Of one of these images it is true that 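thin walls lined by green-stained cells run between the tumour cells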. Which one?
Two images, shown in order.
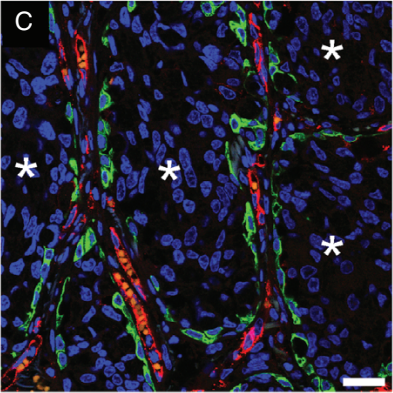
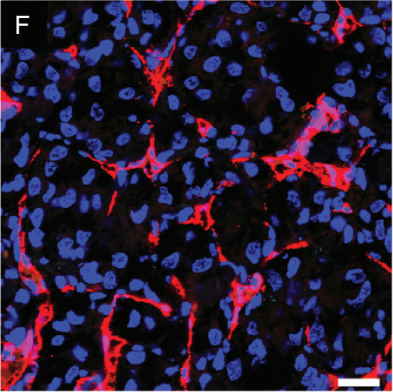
The first image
